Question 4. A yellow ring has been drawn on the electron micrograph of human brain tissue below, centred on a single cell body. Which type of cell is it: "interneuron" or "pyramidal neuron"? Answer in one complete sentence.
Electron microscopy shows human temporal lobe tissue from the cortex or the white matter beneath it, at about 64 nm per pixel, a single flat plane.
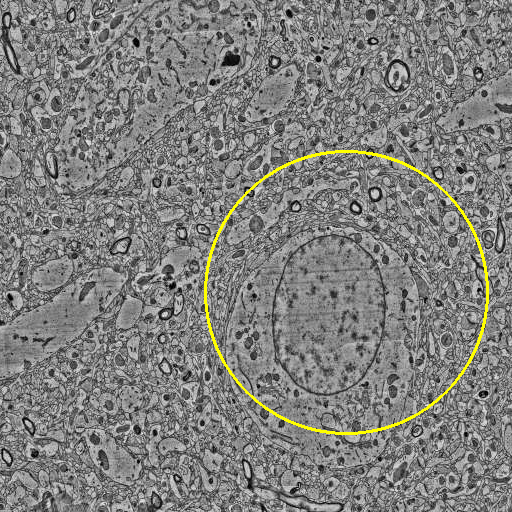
This cell body belongs to a pyramidal neuron.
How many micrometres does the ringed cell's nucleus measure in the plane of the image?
In this plane the nucleus is about 10 micrometres by 7.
